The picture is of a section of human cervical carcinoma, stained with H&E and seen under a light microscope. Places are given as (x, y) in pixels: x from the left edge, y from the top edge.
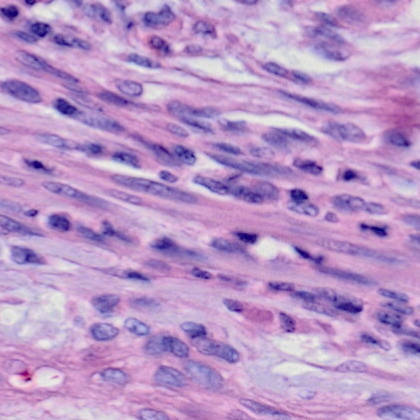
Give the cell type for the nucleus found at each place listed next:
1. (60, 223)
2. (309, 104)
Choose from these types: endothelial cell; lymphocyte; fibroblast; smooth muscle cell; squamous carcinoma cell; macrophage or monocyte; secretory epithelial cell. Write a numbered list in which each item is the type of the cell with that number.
1. lymphocyte
2. fibroblast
